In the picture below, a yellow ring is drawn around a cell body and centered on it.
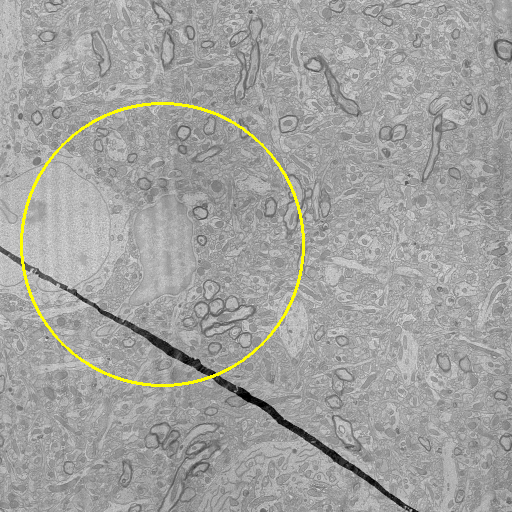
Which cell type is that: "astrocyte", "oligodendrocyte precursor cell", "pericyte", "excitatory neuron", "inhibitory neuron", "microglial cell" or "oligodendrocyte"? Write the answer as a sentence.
The cell centered in the ring is a microglial cell.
